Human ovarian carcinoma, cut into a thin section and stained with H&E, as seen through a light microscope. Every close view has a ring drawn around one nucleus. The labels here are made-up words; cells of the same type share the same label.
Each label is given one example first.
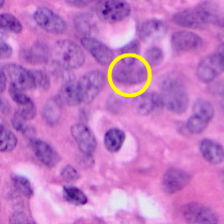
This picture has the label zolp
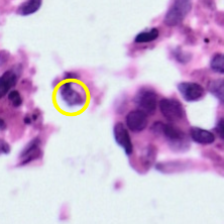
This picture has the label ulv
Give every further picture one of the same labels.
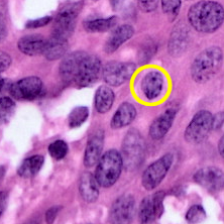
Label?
ulv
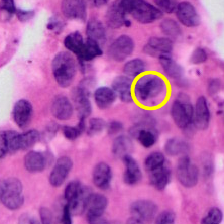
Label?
zolp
